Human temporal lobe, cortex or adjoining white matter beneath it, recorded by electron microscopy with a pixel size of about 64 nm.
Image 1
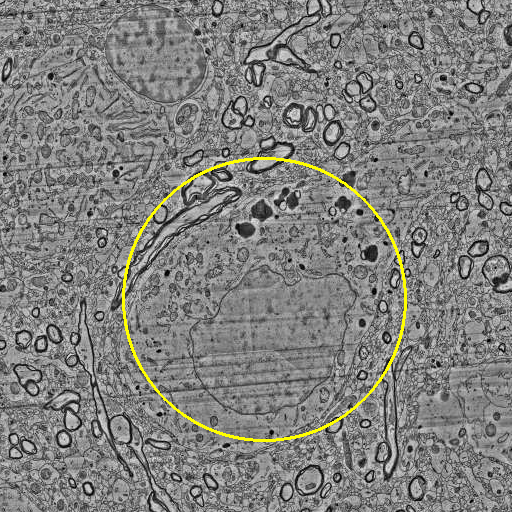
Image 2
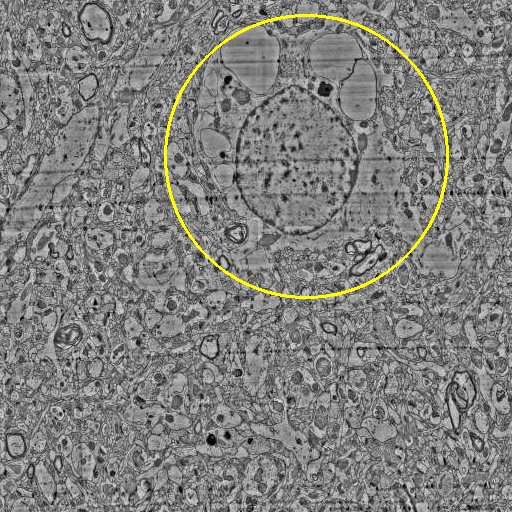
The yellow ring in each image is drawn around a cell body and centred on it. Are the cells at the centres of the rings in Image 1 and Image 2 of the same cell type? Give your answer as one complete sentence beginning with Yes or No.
No, the two cells are of two separate types.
